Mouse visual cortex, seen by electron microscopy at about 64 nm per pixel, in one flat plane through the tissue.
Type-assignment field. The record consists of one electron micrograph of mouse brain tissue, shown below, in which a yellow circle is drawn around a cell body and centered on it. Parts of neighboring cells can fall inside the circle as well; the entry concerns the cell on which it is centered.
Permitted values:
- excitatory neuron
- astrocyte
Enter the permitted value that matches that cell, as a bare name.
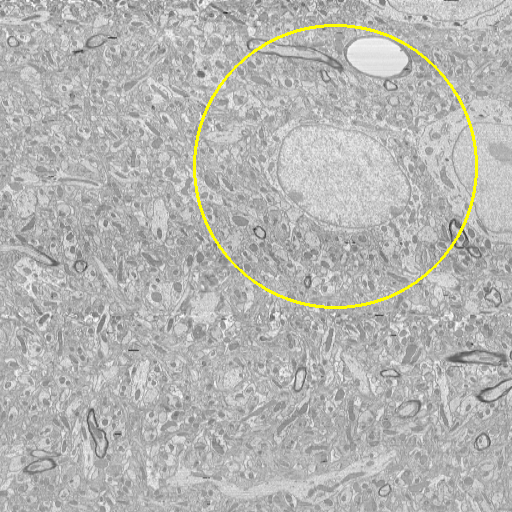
astrocyte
